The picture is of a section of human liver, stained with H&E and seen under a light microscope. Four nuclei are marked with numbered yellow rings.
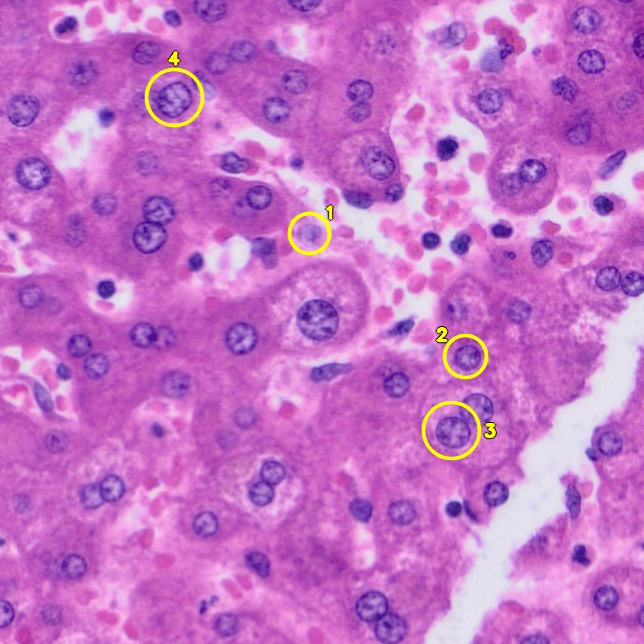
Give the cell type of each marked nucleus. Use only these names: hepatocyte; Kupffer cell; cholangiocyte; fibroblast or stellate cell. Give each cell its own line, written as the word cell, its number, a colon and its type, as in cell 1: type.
cell 1: Kupffer cell
cell 2: hepatocyte
cell 3: hepatocyte
cell 4: hepatocyte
